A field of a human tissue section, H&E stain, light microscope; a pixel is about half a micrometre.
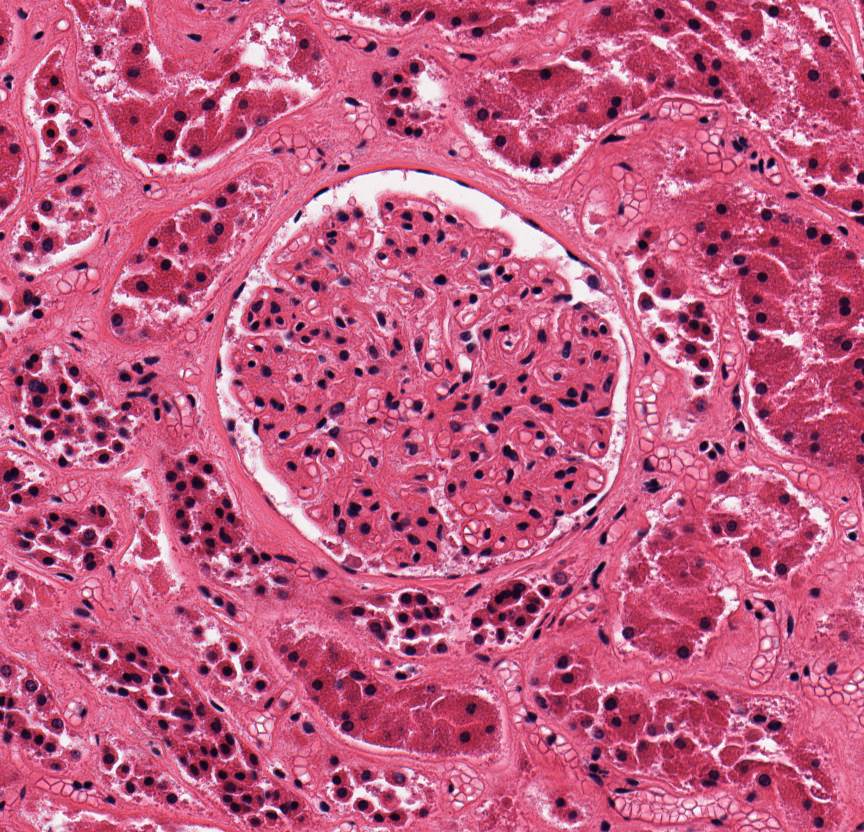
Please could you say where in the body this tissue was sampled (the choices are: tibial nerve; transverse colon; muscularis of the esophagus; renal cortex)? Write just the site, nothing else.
renal cortex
